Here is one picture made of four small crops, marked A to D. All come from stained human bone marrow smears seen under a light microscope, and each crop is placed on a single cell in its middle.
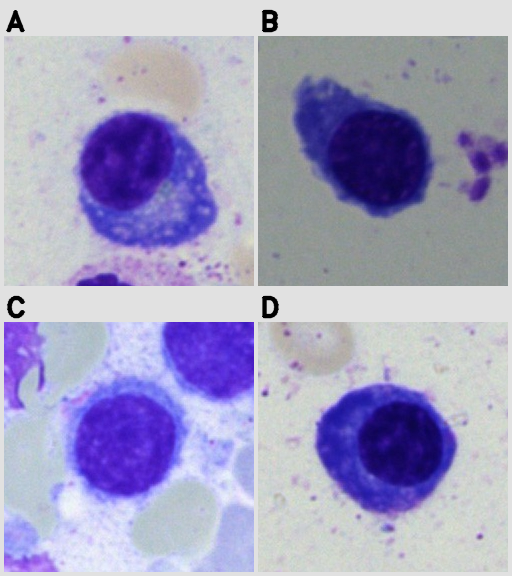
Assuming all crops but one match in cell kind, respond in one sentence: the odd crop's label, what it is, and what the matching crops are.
The crop that differs is crop C, showing a hairy cell; the others show plasma cells.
